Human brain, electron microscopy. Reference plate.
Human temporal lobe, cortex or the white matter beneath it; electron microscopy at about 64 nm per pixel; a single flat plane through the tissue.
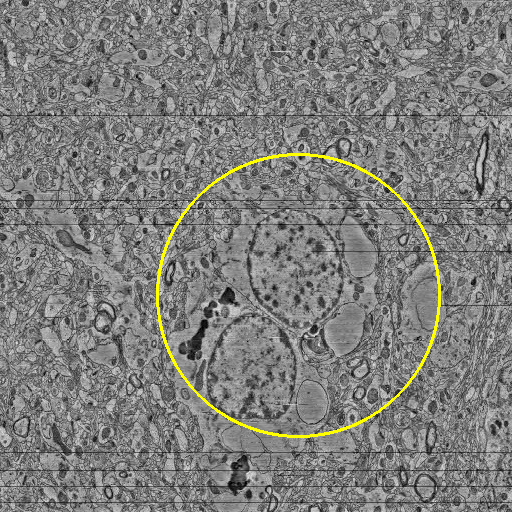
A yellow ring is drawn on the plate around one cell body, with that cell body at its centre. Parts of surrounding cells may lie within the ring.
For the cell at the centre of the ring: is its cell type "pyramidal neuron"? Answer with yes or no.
No, its cell type is another one.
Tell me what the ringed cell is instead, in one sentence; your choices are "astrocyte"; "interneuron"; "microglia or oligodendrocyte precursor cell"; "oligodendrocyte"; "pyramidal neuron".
Instead, the cell inside the ring is an astrocyte.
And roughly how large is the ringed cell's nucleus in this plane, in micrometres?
In this plane the nucleus is about 8 micrometres by 6.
